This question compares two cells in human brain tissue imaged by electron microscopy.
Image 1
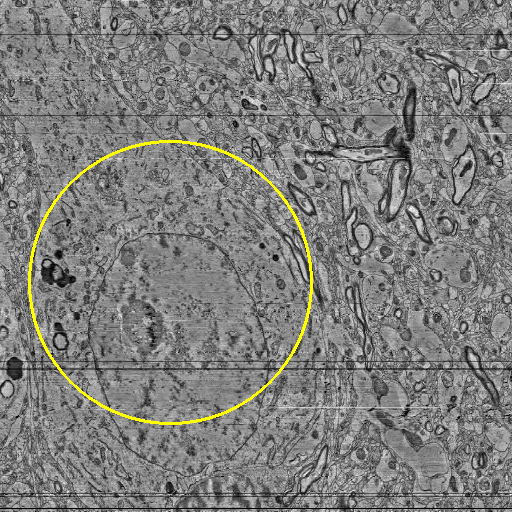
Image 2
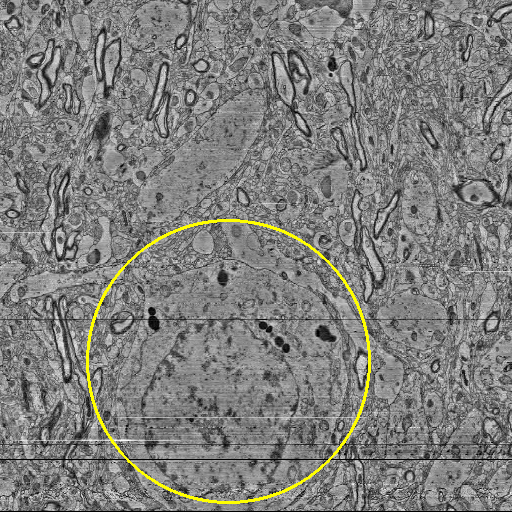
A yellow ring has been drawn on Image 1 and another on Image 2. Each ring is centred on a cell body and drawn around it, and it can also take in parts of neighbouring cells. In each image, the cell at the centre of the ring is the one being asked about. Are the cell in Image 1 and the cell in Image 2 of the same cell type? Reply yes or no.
yes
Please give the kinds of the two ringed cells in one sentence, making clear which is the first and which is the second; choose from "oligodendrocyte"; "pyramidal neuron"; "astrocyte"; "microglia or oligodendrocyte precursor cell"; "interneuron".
In both pictures the ring is centred on a pyramidal neuron.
